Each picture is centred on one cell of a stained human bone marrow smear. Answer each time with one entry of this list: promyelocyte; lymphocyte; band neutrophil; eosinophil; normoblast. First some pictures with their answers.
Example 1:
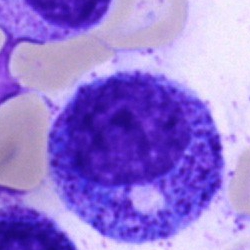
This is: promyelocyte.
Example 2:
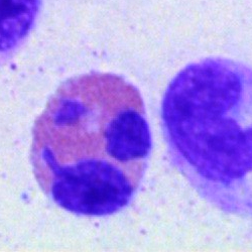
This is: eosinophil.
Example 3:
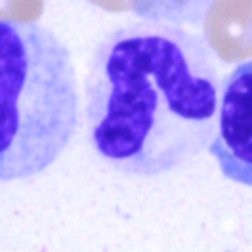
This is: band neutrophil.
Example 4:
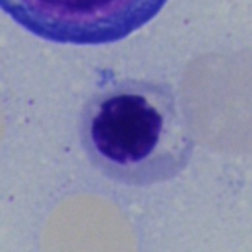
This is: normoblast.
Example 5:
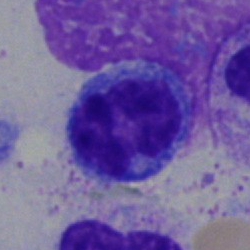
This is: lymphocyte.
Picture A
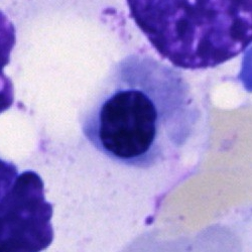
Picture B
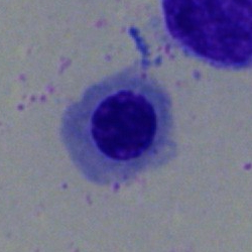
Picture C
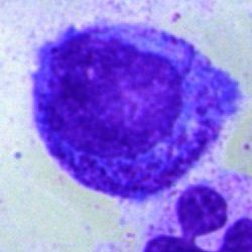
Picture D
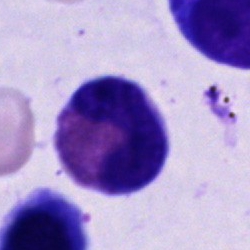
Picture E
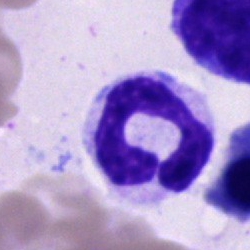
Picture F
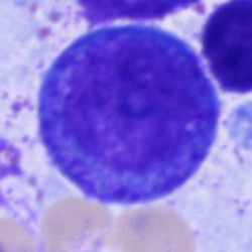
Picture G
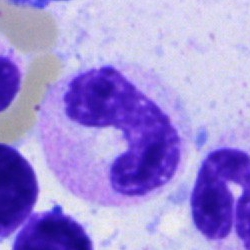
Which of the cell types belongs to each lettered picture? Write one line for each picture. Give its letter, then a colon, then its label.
A: normoblast.
B: normoblast.
C: promyelocyte.
D: eosinophil.
E: band neutrophil.
F: promyelocyte.
G: band neutrophil.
